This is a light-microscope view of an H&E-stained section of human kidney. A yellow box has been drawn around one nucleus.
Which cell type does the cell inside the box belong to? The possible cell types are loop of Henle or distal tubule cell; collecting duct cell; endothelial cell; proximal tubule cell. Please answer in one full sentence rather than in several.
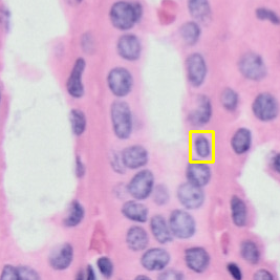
Assigned to a cell type, the cell inside the box is a collecting duct cell.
